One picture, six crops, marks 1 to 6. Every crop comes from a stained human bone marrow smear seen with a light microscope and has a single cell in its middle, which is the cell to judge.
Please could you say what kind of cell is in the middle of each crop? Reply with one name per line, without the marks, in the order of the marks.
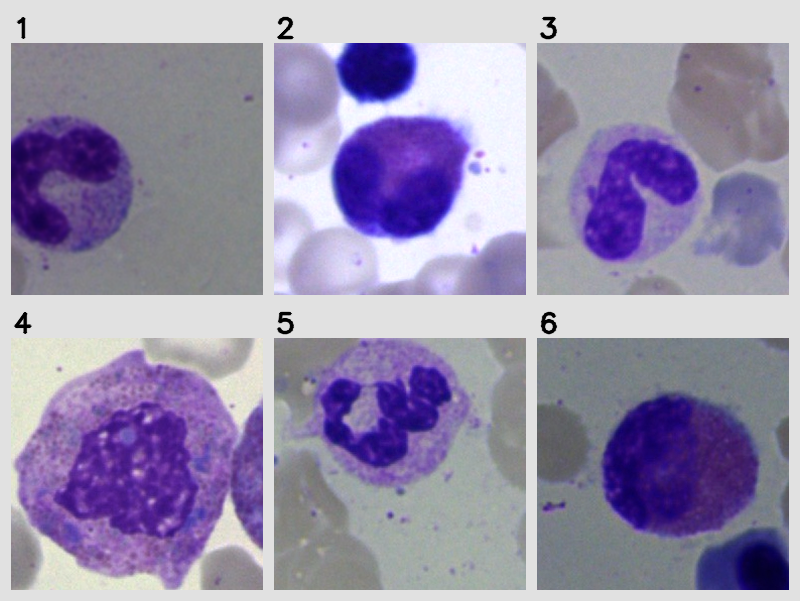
segmented neutrophil
eosinophil
band neutrophil
eosinophil
segmented neutrophil
eosinophil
